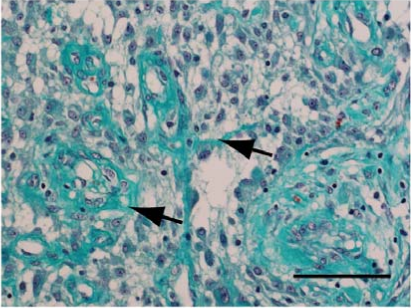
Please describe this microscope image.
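The cells have dark round to oval nuclei and pale cytoplasm and lie loosely among clear spaces. The blue-green fibers form strands and rings, some outlining small vessel-like structures. Only a few red erythrocytes are present.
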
